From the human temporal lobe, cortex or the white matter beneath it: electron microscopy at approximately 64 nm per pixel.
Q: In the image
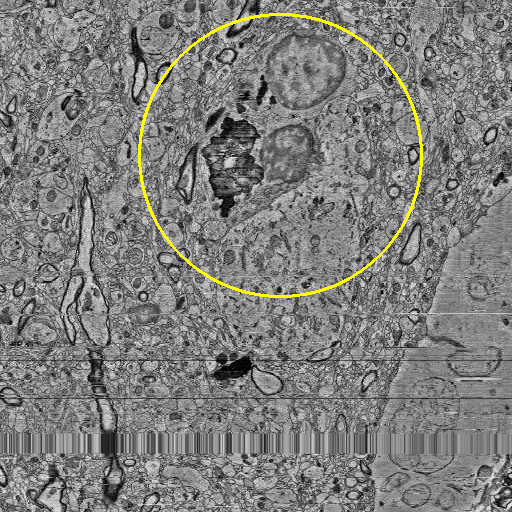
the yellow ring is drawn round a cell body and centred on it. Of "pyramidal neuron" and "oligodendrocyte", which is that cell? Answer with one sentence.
The cell centred in the ring is an oligodendrocyte.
